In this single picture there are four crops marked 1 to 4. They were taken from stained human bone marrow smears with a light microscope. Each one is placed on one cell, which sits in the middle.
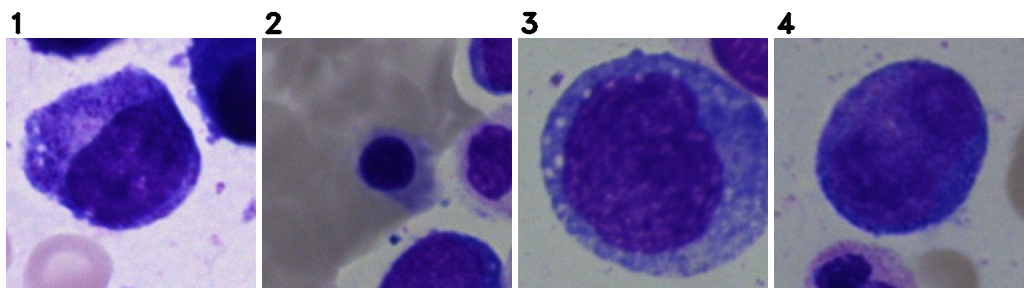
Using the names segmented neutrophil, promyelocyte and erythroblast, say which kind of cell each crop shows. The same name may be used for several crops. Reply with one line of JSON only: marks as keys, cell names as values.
{"1": "promyelocyte", "2": "erythroblast", "3": "promyelocyte", "4": "promyelocyte"}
